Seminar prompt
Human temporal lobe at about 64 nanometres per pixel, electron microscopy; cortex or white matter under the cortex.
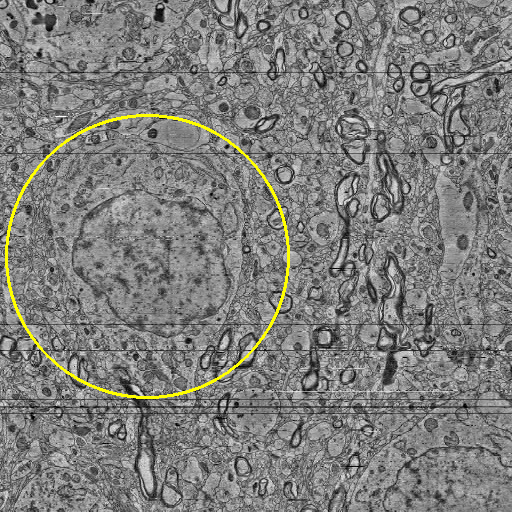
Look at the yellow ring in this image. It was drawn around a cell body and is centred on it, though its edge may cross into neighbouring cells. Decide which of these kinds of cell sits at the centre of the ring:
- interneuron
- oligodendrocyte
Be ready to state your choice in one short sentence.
The kind of cell at the ring's centre is an interneuron.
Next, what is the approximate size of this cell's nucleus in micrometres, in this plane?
In this plane, roughly 10 by 9 micrometres.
